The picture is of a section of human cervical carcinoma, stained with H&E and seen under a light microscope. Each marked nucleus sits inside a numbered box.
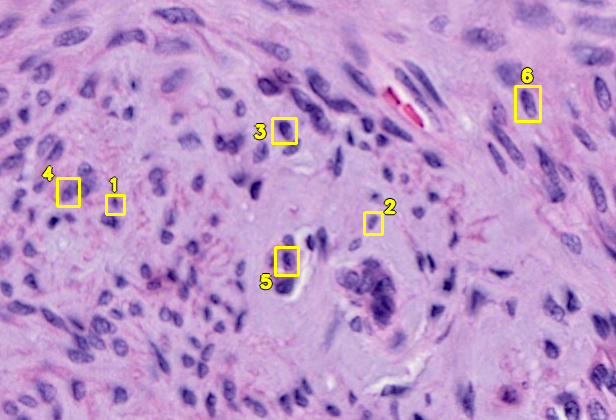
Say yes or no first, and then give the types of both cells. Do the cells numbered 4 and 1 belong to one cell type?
Yes, cells 4 and 1 are both smooth muscle cells in this section.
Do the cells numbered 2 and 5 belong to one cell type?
No, the cell at number 2 is a fibroblast, and the cell at number 5 is an endothelial cell.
